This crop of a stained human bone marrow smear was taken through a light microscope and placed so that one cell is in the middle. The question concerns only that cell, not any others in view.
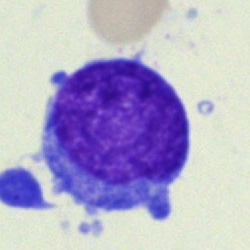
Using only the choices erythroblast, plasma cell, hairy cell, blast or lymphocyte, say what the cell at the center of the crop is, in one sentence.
What the crop centres on is a blast.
